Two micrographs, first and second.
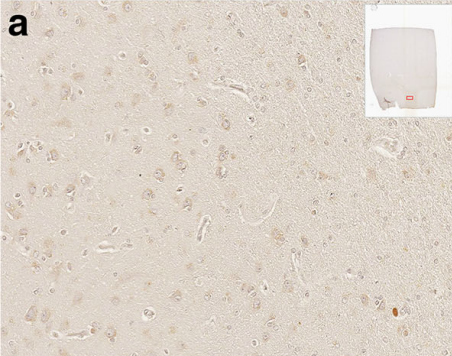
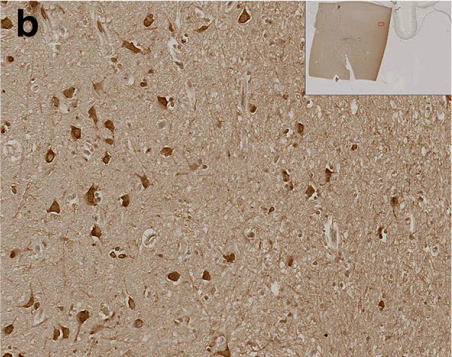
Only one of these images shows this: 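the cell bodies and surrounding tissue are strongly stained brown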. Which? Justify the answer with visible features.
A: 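Second image: many cell bodies are dark brown on a brown background. First image: the tissue is pale beige with only faint staining of cell bodies. That points to this answer: the second image.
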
